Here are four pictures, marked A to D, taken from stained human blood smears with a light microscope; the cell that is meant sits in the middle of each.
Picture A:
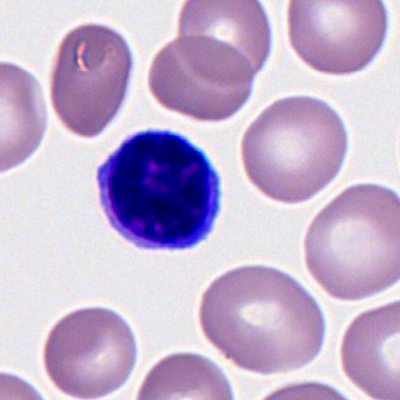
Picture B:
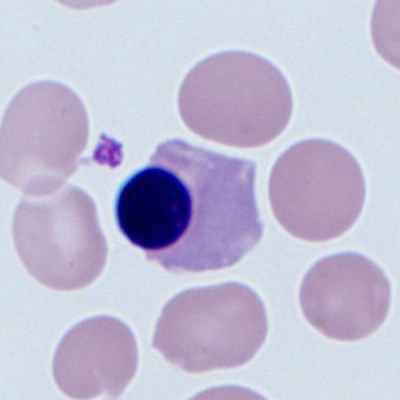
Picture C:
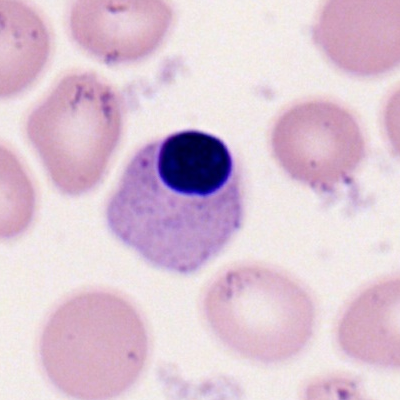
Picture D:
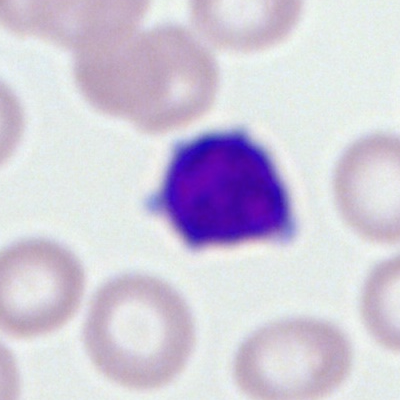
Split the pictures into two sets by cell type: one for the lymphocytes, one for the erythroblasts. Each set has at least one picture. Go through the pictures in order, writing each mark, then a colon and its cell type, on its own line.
A: lymphocyte
B: erythroblast
C: erythroblast
D: lymphocyte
